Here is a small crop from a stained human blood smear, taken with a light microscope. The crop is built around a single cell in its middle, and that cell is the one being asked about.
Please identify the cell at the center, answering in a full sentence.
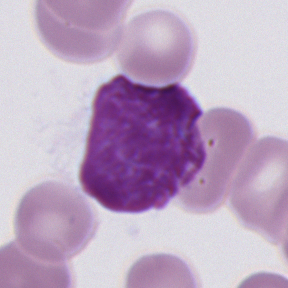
The cell positioned in the middle of the field is a smudge cell.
